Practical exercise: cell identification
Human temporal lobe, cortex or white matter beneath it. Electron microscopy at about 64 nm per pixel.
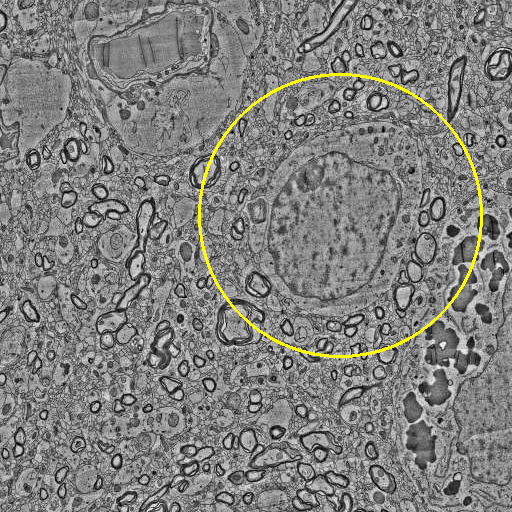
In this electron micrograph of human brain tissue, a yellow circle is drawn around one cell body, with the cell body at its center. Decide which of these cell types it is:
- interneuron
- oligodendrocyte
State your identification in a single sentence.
The ringed cell is an interneuron.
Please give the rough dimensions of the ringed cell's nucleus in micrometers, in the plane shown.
About 10 by 8 micrometers, in this plane.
